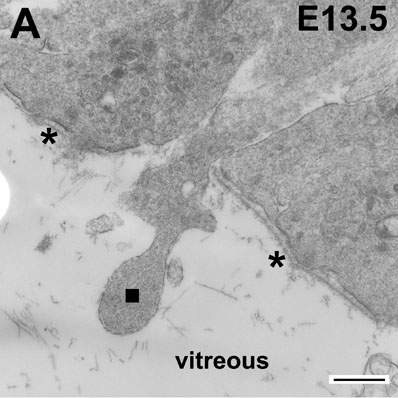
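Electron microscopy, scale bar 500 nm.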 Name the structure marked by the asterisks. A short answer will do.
Inner limiting membrane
